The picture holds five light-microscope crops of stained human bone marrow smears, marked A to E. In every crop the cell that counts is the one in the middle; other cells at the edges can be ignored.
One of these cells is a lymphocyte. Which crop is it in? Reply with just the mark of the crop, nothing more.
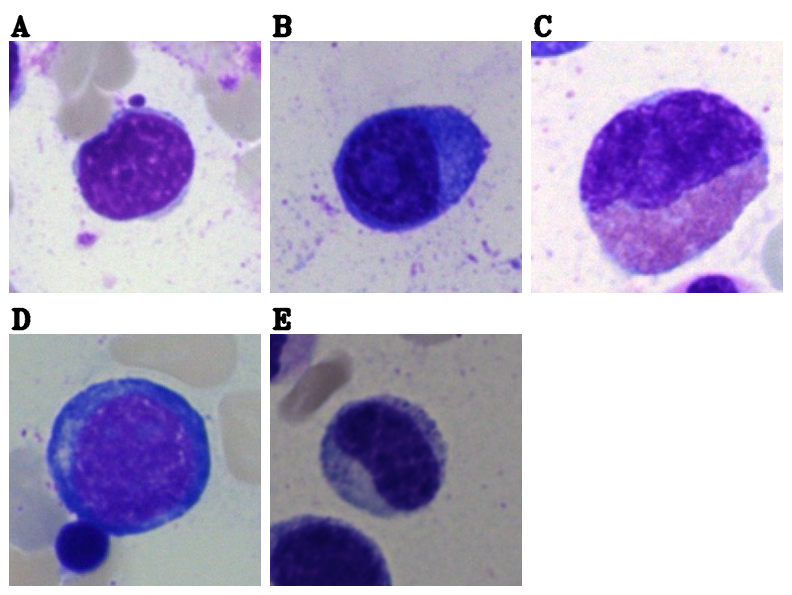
A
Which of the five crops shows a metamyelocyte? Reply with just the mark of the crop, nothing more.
E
